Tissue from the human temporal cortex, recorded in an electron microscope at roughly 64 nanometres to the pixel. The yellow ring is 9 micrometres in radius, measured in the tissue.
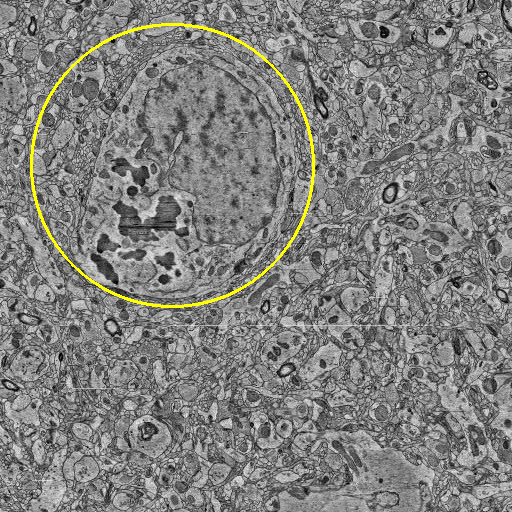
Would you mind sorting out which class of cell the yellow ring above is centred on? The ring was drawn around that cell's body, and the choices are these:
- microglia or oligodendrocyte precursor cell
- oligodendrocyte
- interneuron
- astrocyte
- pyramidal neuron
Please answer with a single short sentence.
This is the cell body of an interneuron.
